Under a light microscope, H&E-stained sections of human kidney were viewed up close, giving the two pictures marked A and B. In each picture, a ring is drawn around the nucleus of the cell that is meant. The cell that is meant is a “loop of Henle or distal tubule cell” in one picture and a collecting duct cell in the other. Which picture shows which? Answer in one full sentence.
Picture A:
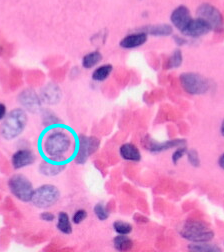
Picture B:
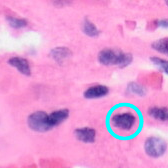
Picture B shows a “loop of Henle or distal tubule cell”, while picture A shows a collecting duct cell.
